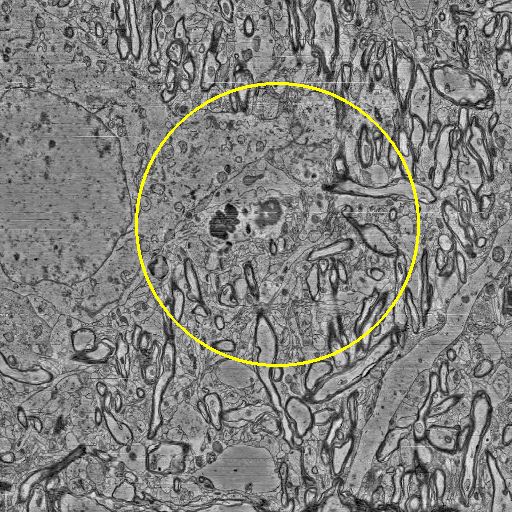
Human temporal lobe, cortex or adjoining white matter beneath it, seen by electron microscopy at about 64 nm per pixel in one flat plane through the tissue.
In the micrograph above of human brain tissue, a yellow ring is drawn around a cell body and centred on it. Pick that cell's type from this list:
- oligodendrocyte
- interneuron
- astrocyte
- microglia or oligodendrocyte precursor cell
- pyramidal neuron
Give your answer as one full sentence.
Going by the list, a microglial cell or oligodendrocyte precursor cell is the cell on which the yellow ring is centred.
